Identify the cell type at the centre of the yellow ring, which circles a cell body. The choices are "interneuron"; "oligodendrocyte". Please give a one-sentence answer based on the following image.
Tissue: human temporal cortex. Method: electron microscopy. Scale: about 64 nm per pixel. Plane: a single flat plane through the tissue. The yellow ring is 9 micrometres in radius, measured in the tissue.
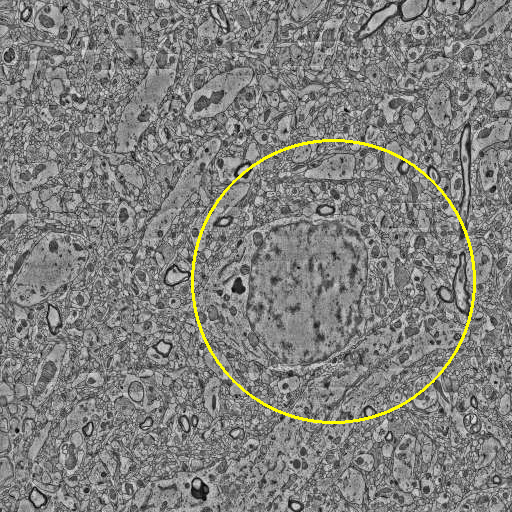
The cell marked by the ring is an interneuron.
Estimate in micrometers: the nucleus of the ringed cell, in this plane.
Roughly 10 by 8 micrometres is the size of the nucleus in this plane.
